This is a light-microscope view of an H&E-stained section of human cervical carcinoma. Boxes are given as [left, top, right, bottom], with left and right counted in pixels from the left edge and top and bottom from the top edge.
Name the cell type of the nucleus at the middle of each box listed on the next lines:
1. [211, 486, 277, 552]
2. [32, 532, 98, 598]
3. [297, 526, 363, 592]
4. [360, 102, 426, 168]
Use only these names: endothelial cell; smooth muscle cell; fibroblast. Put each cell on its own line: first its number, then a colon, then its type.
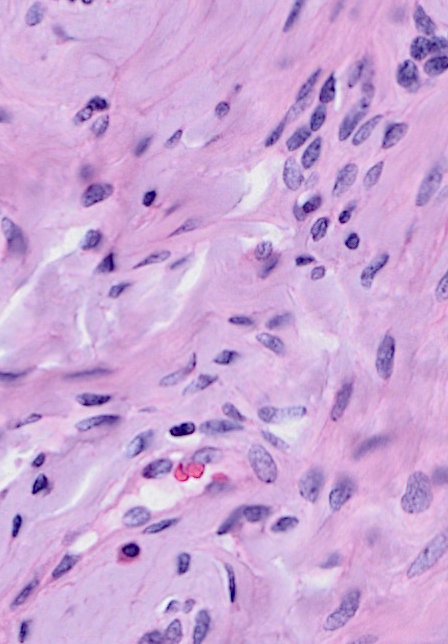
1: fibroblast
2: endothelial cell
3: fibroblast
4: fibroblast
